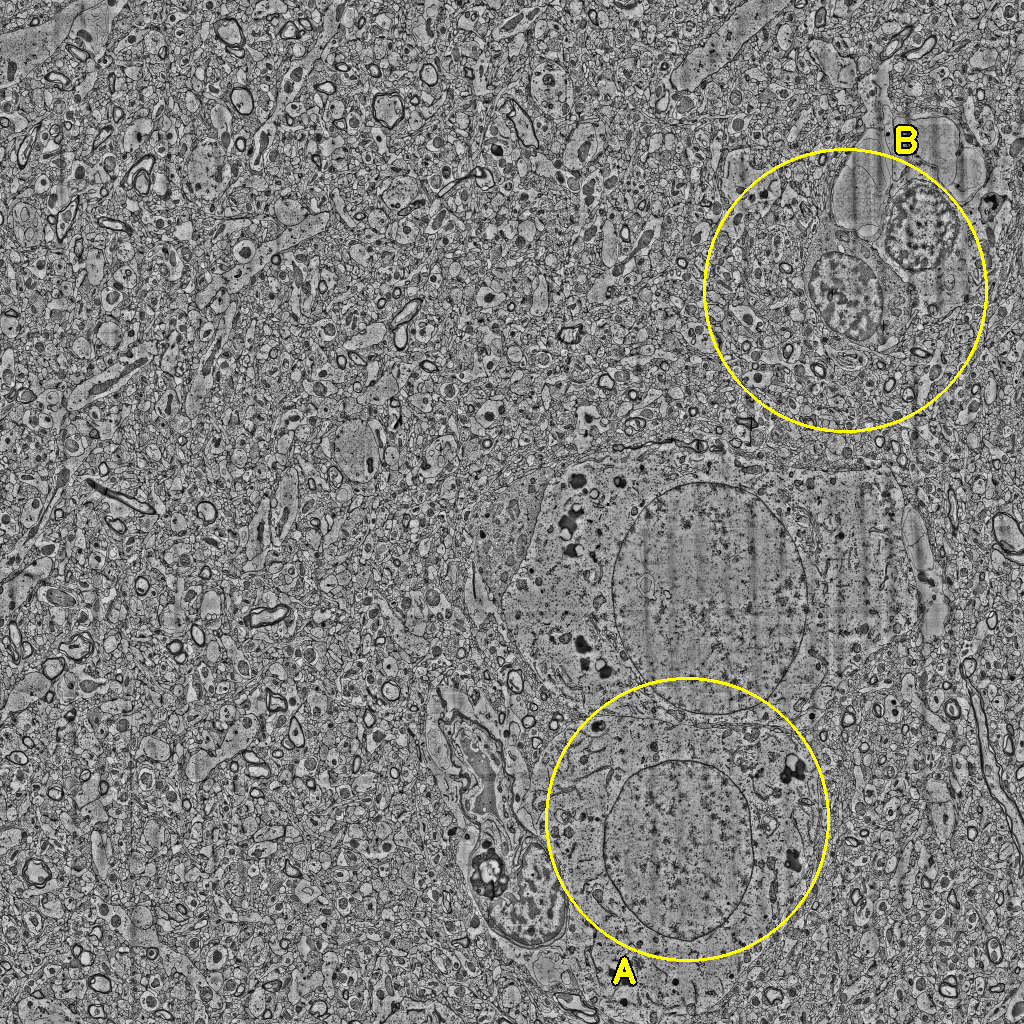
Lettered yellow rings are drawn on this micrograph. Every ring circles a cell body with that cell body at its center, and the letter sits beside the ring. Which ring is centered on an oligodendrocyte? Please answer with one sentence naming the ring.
Ring B has it at its center.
